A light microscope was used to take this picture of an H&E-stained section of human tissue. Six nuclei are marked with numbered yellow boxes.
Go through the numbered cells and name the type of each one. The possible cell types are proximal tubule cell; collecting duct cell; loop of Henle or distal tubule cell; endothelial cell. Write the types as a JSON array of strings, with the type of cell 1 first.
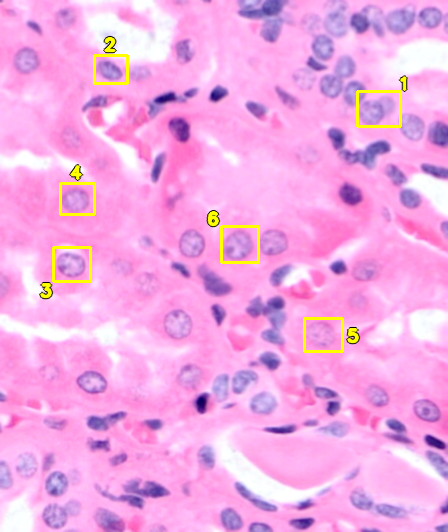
["collecting duct cell", "loop of Henle or distal tubule cell", "proximal tubule cell", "proximal tubule cell", "proximal tubule cell", "proximal tubule cell"]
